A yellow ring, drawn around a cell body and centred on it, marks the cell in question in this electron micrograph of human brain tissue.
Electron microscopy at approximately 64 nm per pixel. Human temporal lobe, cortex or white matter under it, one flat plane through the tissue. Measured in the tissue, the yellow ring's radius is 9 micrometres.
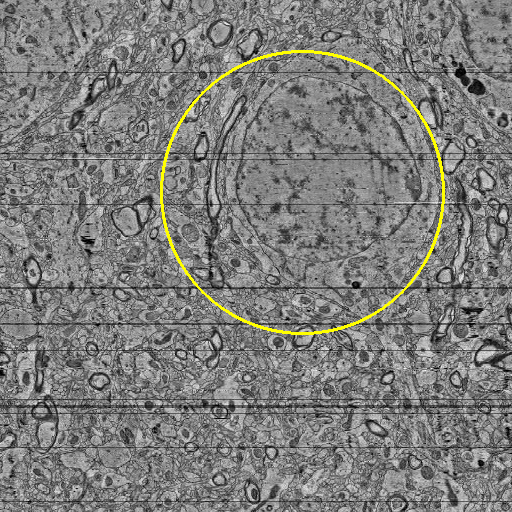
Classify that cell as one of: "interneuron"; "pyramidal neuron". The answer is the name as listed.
pyramidal neuron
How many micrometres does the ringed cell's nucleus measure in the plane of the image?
In this plane the ringed cell's nucleus is roughly 13 micrometres across.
